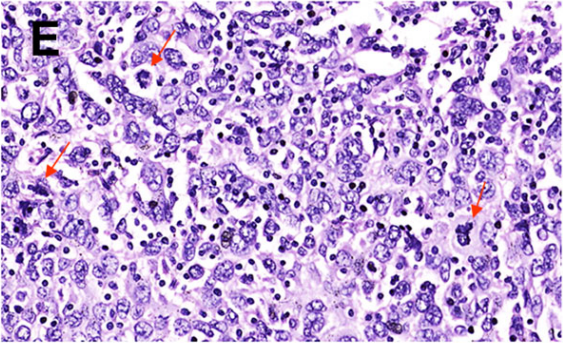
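At higher power, the tumor is made of large cells with indistinct borders, mixed with many small lymphocytes that have dark round nuclei. The tumor nuclei are large and vesicular with prominent nucleoli. Several cells show irregular, dark, clumped mitotic figures that are atypical mitoses.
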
